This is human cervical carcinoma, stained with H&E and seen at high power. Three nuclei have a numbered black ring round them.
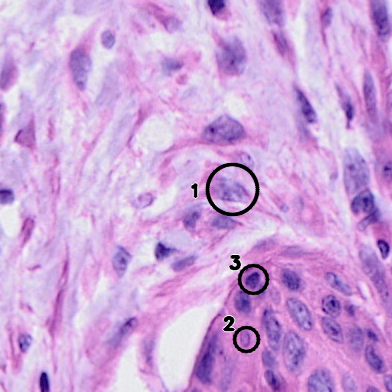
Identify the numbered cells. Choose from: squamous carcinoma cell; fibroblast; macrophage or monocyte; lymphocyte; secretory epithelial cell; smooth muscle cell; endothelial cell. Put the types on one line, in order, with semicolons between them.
fibroblast; squamous carcinoma cell; squamous carcinoma cell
